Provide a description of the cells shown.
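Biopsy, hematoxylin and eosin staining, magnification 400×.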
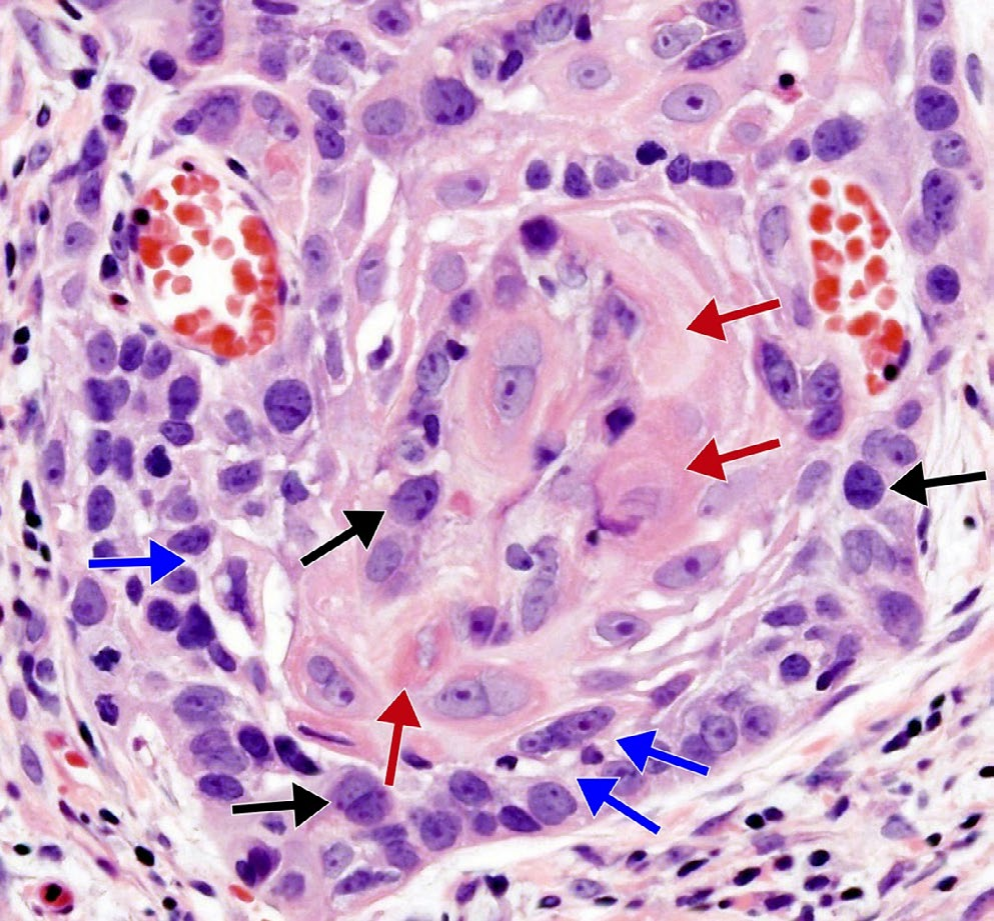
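Nests of atypical squamous cells lie in a stroma containing small blood vessels filled with red blood cells. The cells are large and polygonal with pink cytoplasm and enlarged, pleomorphic, dark-staining nuclei, and toward the centre of the nest they surround glassy, bright pink, concentrically layered areas of keratinization.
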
